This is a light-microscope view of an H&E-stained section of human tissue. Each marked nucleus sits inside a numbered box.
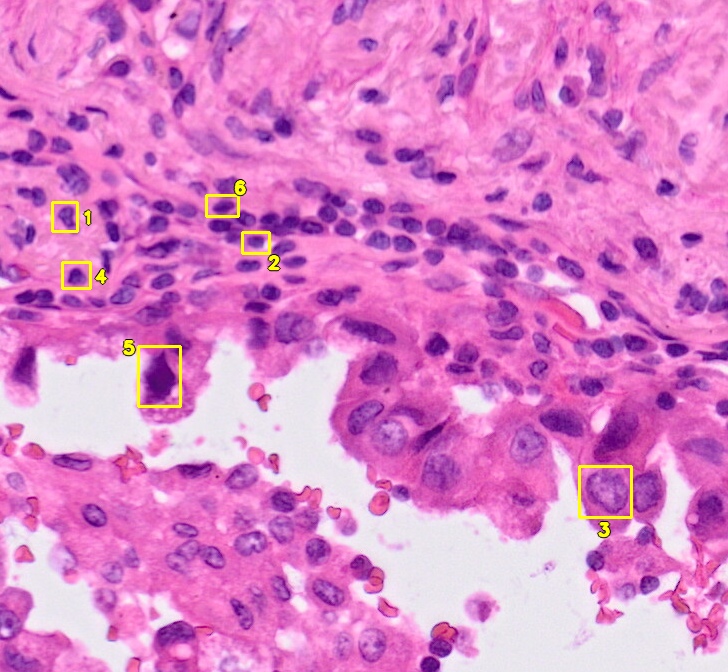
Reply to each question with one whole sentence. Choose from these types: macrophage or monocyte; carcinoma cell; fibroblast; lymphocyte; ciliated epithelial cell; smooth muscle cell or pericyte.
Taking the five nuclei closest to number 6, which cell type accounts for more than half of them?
Lymphocytes make up most of the five nuclei closest to number 6.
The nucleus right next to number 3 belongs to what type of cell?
Number 3 lies closest to the nucleus of a carcinoma cell.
